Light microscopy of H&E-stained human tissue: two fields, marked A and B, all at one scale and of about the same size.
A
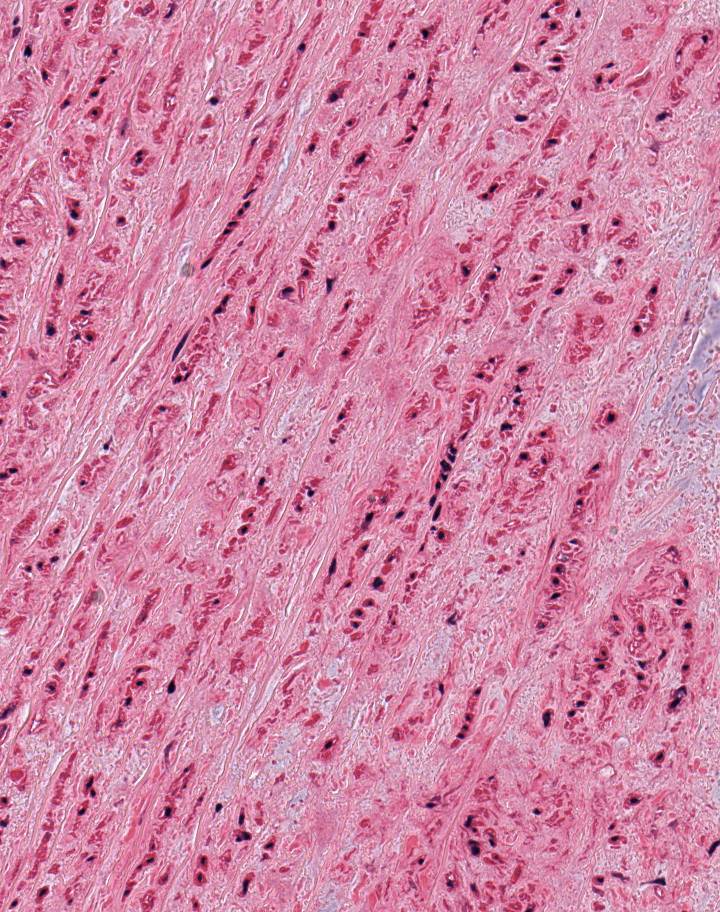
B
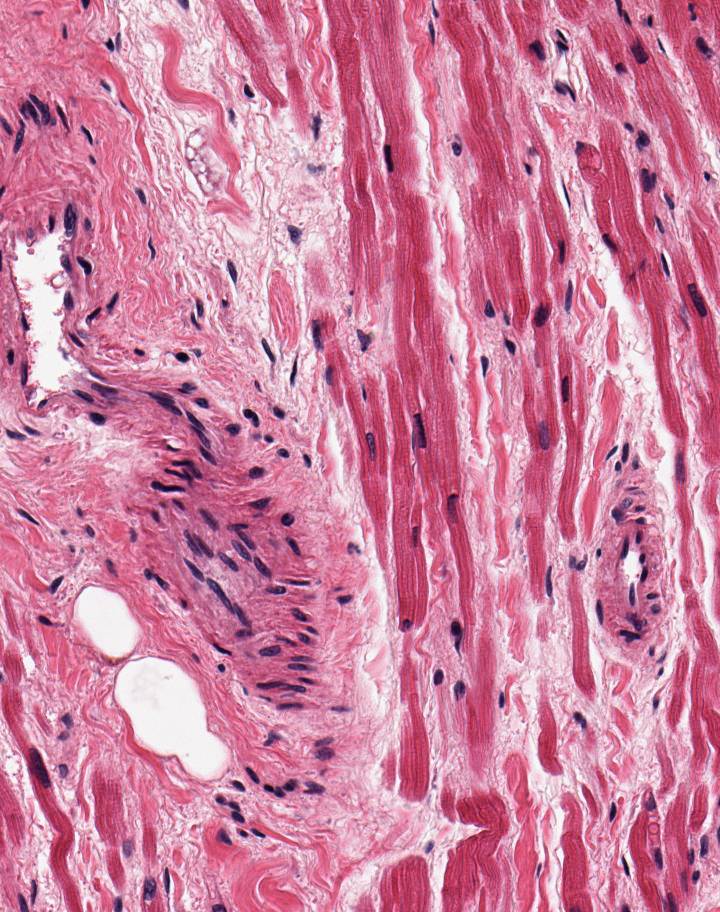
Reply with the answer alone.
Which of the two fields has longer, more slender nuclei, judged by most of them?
B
